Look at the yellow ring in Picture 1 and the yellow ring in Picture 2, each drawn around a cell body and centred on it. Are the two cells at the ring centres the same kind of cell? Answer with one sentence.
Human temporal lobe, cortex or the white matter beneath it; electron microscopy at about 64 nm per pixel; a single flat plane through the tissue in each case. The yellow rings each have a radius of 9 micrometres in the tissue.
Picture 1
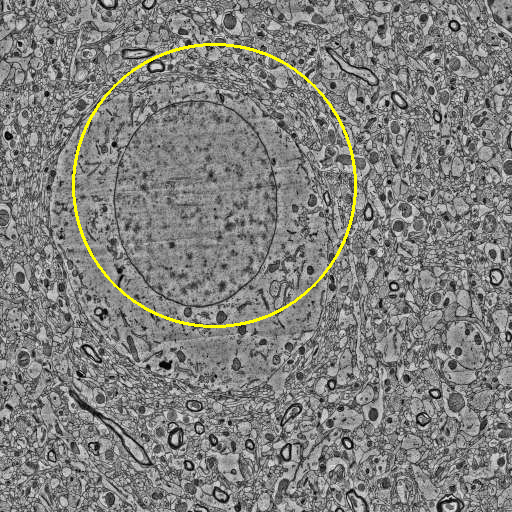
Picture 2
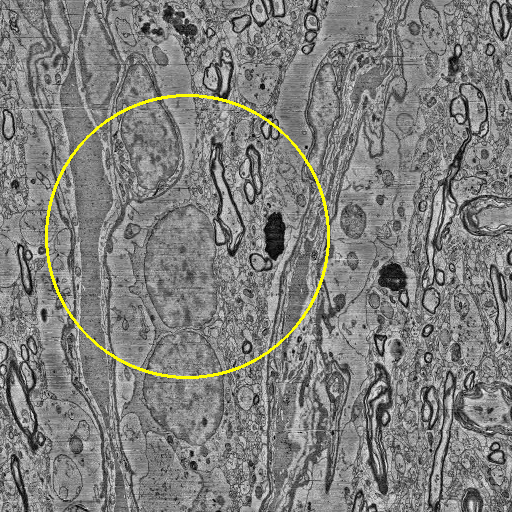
No, they are cells of two kinds.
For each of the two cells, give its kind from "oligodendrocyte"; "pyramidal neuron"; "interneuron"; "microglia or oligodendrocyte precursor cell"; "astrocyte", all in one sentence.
The first picture has a pyramidal neuron in its ring, the second has an oligodendrocyte.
